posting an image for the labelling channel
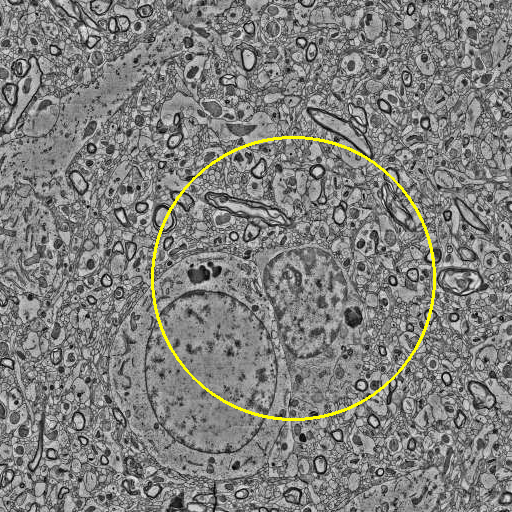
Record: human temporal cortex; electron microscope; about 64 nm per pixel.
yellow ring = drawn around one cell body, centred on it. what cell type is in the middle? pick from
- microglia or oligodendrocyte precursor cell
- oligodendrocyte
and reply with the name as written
oligodendrocyte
